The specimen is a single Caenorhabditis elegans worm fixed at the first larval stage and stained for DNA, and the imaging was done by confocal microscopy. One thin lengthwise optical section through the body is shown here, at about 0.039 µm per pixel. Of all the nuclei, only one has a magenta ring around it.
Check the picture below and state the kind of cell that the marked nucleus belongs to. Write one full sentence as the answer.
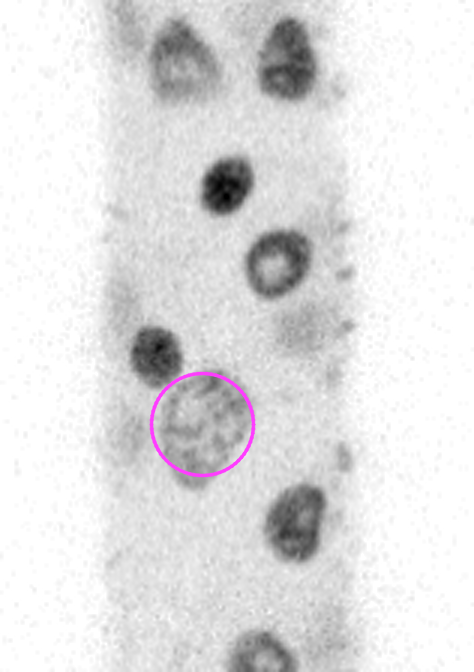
The marked nucleus belongs to a hypodermal cell (hyp).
